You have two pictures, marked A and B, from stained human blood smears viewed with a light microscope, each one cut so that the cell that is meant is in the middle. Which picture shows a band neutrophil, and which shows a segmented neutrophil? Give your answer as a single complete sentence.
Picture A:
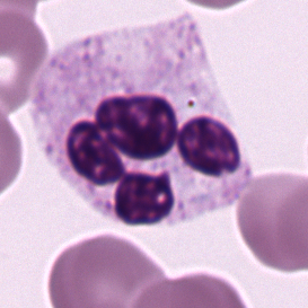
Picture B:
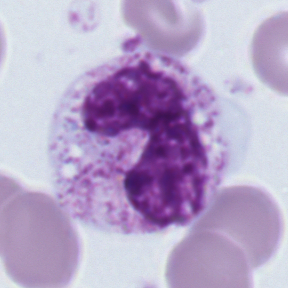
In picture A the cell is a segmented neutrophil; in picture B, a band neutrophil.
